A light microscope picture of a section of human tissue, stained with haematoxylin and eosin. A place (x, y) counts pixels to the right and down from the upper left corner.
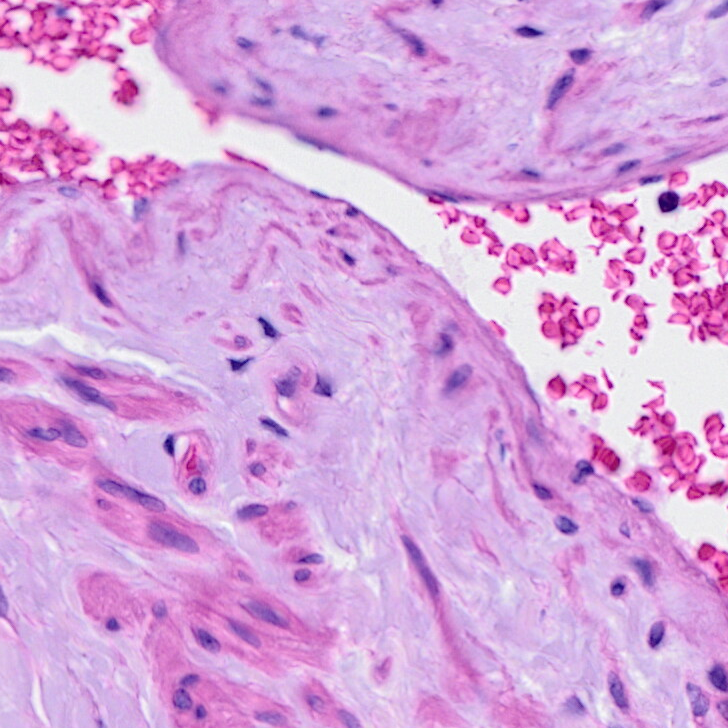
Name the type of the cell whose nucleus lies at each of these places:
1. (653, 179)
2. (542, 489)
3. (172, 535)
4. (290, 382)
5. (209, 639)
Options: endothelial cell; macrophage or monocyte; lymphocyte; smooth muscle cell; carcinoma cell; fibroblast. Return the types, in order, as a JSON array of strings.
["endothelial cell", "smooth muscle cell", "smooth muscle cell", "endothelial cell", "smooth muscle cell"]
